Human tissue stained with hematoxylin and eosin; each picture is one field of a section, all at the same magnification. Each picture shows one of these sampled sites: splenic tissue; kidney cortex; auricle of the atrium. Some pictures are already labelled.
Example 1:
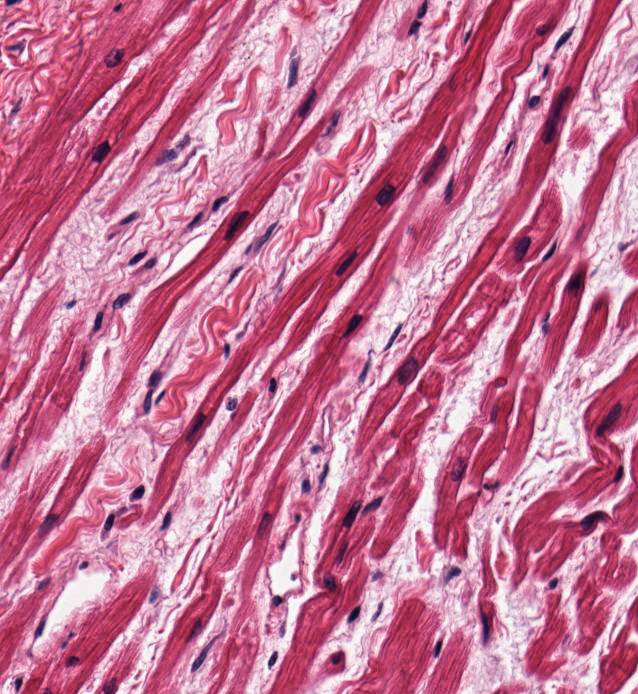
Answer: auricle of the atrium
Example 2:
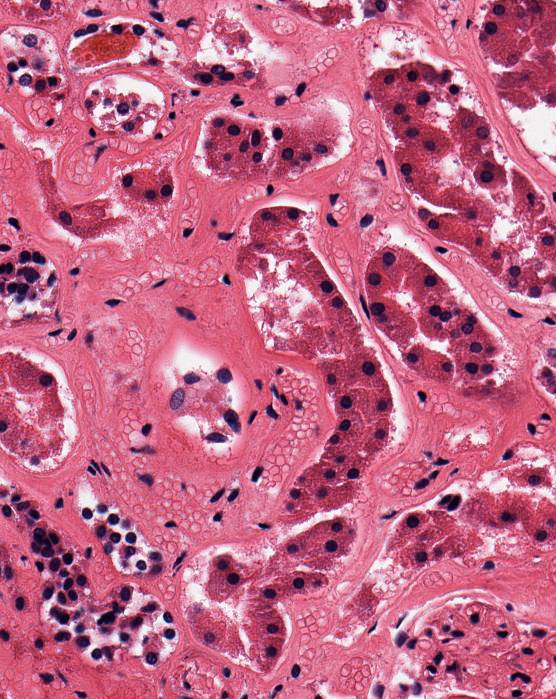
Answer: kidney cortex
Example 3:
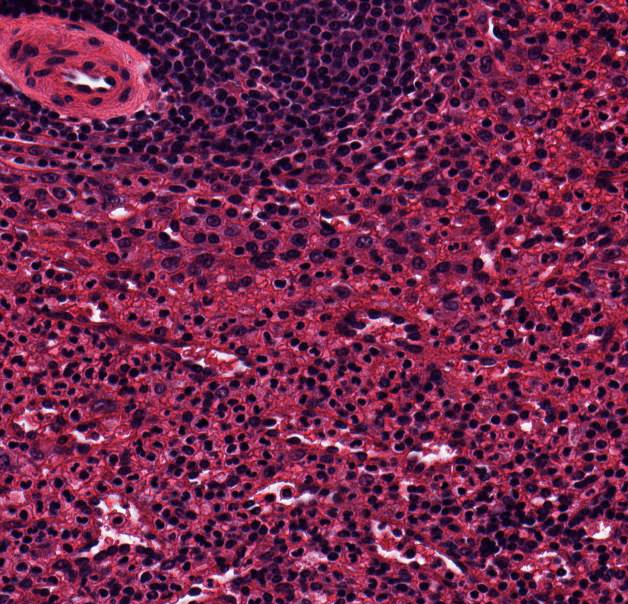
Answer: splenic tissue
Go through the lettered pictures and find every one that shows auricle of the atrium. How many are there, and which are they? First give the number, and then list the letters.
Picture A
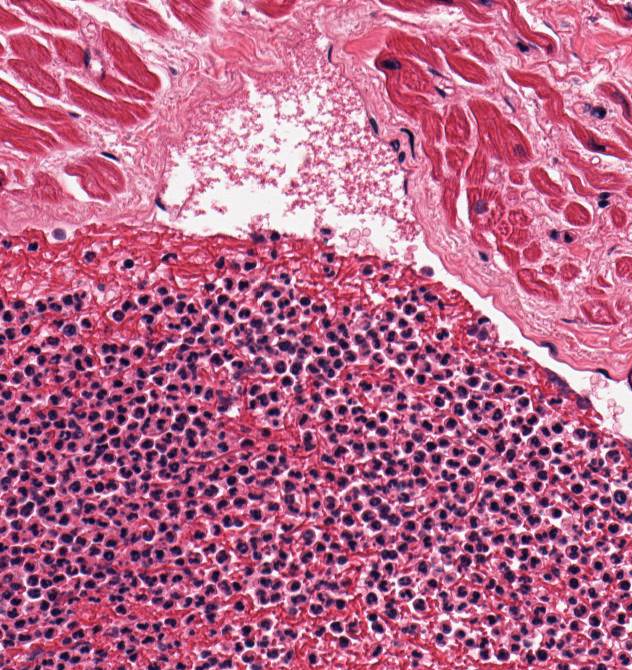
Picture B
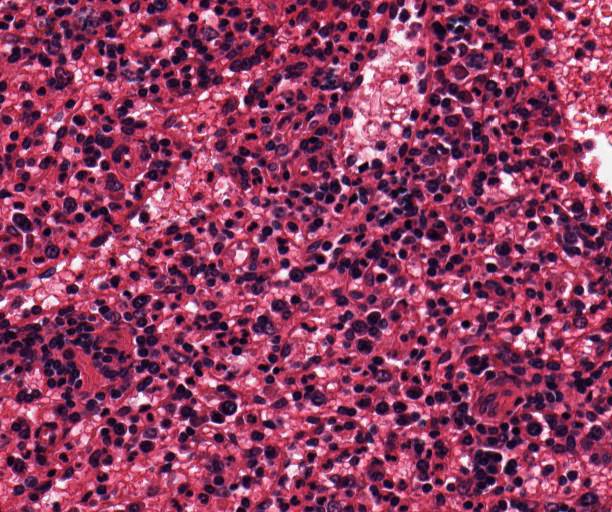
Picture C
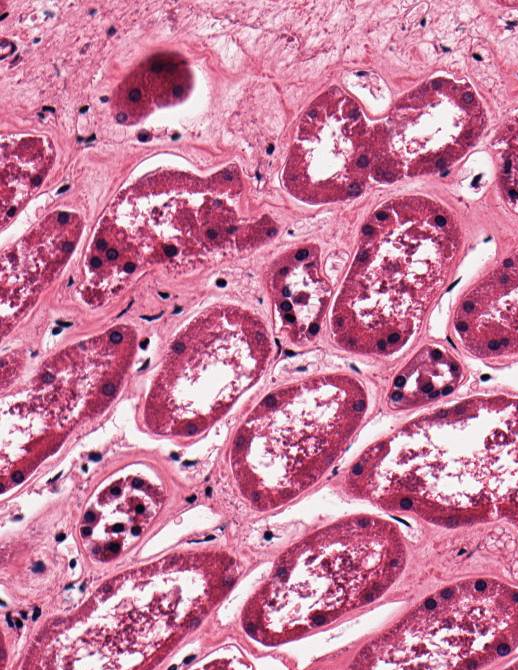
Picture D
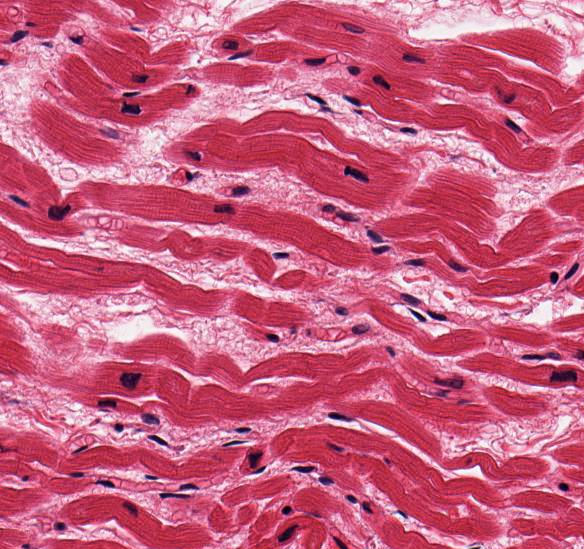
2: A, D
